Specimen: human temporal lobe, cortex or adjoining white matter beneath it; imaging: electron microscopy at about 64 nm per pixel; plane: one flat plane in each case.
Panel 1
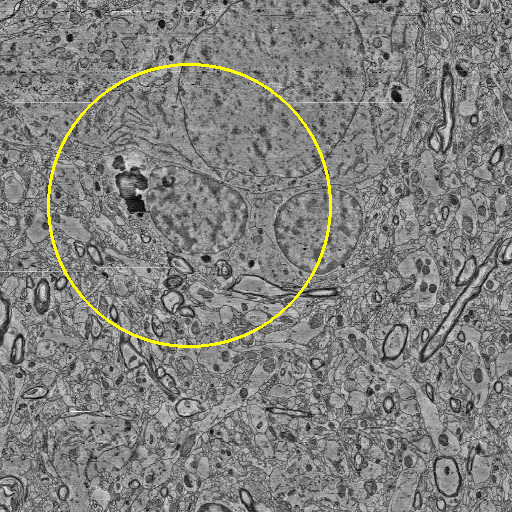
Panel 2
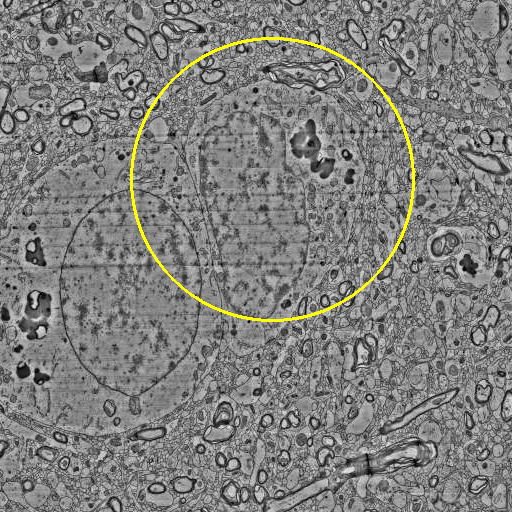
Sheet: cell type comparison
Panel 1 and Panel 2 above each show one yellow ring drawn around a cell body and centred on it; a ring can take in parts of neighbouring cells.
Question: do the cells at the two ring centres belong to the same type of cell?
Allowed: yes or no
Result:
no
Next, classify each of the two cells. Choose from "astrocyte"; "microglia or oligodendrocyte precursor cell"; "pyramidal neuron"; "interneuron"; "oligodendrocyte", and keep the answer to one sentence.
In the first picture it is an oligodendrocyte; in the second it is an interneuron.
